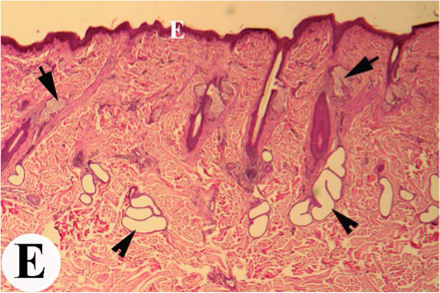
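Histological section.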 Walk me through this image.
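This is a section of hairy skin with a thin, dark-staining epidermis over a dense, pink-staining dermis of interwoven collagen bundles. Hair follicles with elongated shafts run obliquely down through the dermis, and beside them lie small pale sebaceous gland clusters. Deeper in the dermis are numerous pale, coiled tubular profiles of sweat glands.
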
